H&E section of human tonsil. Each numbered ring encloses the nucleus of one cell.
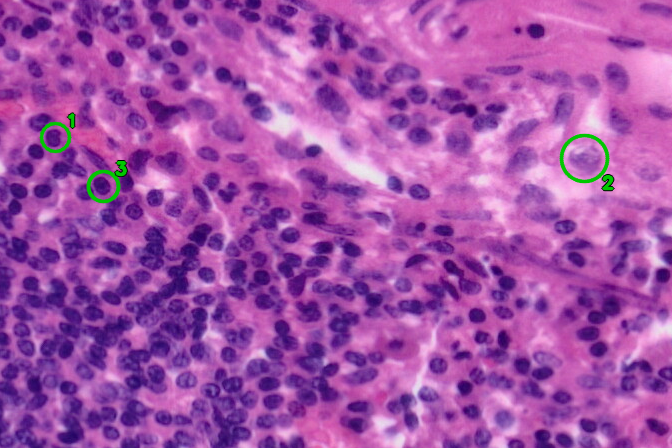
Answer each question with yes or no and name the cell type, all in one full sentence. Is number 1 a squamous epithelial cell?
No, cell number 1 is identified as a plasma cell, not as a squamous epithelial cell.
